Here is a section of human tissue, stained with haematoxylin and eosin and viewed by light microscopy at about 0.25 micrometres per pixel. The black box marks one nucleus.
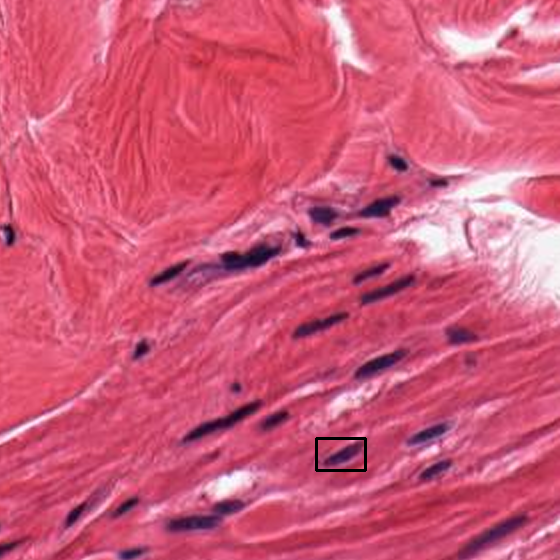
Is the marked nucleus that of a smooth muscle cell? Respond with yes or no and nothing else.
yes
